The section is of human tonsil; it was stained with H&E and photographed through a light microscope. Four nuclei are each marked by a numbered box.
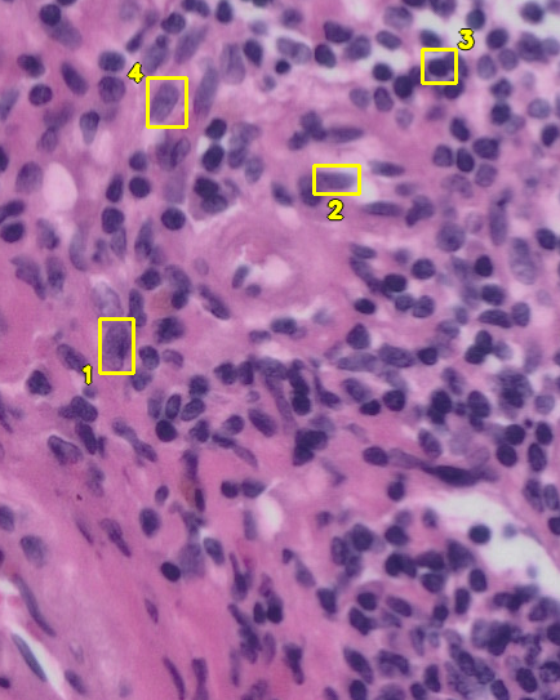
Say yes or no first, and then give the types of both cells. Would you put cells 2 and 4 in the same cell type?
Yes, cells 2 and 4 are both counted as endothelial cells.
